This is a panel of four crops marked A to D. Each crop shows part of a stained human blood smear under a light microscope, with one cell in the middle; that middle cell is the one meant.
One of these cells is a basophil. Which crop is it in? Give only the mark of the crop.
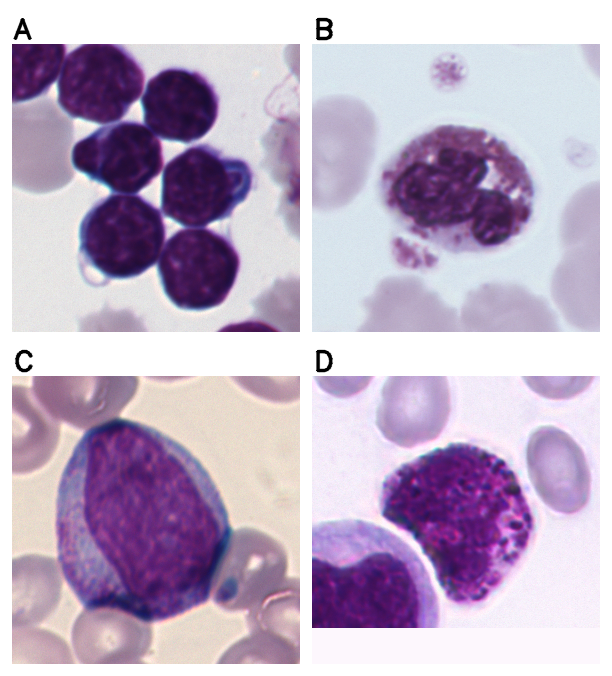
D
